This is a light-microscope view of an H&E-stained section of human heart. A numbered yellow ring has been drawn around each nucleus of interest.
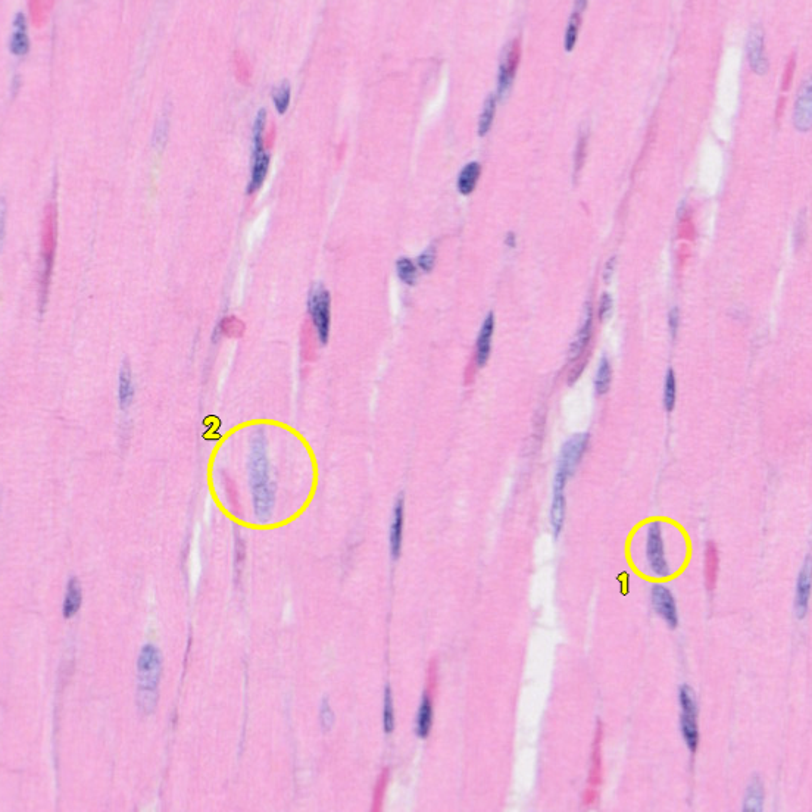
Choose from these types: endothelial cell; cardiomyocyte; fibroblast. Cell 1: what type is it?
fibroblast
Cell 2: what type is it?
cardiomyocyte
